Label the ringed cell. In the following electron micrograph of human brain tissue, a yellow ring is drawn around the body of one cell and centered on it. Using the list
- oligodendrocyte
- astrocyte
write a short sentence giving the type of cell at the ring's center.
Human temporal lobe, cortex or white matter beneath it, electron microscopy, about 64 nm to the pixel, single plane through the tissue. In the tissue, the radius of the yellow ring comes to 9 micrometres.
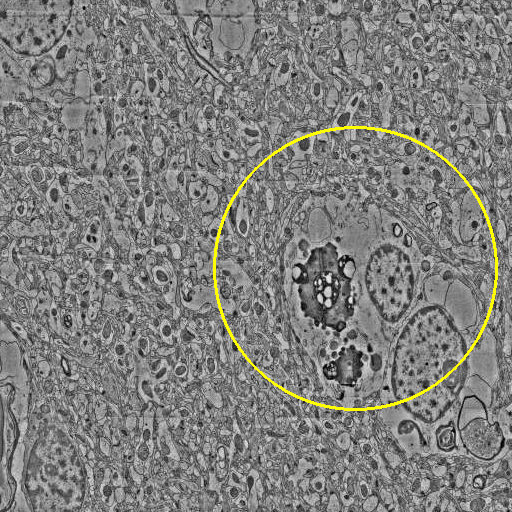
The cell body at the ring's center is that of an astrocyte.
